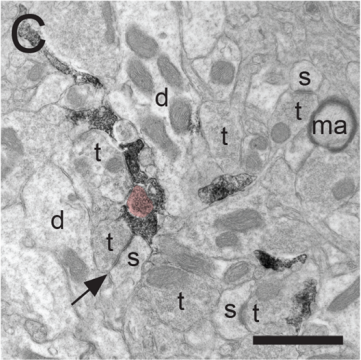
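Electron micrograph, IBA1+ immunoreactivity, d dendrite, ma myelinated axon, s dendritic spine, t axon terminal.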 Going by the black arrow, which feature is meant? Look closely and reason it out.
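The arrow points at the apposition of a terminal and a spine. A dense postsynaptic thickening marks the contact.
Excitatory synaptic clefts.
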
